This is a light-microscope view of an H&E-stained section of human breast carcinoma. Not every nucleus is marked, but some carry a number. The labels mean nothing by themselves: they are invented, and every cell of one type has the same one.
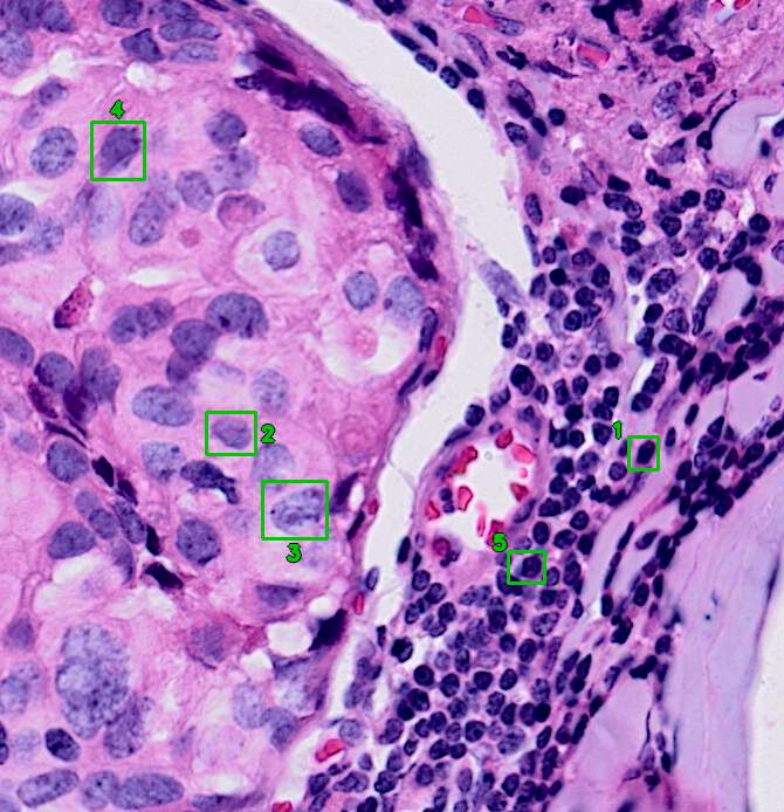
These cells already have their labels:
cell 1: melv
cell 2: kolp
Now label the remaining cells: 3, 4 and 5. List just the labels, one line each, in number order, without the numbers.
kolp
kolp
melv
